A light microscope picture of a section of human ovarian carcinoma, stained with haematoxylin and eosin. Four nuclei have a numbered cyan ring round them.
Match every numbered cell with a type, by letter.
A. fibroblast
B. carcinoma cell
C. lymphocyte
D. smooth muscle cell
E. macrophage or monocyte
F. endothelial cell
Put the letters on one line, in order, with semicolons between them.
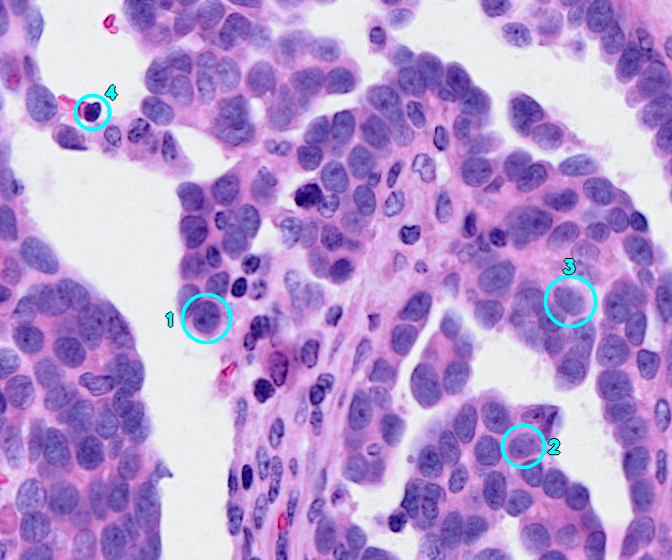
B; B; B; C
